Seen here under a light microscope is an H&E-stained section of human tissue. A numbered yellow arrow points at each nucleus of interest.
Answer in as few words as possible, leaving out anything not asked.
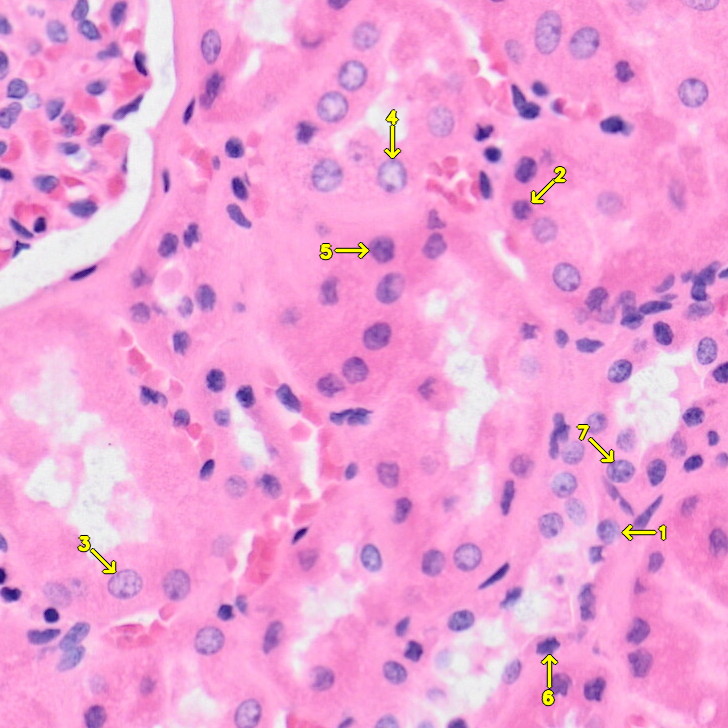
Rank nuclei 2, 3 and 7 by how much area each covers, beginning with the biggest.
3, 7, 2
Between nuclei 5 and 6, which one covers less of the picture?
6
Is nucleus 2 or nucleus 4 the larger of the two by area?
4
